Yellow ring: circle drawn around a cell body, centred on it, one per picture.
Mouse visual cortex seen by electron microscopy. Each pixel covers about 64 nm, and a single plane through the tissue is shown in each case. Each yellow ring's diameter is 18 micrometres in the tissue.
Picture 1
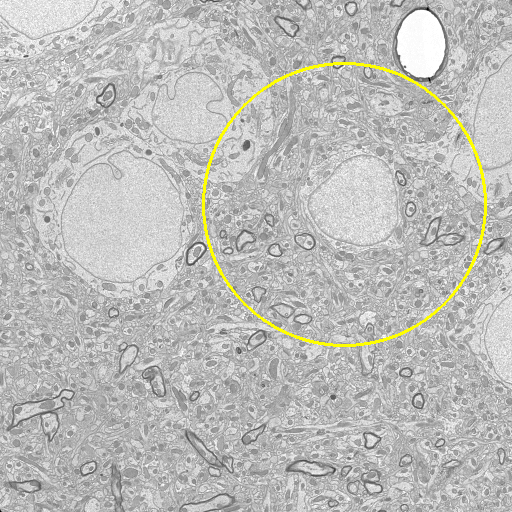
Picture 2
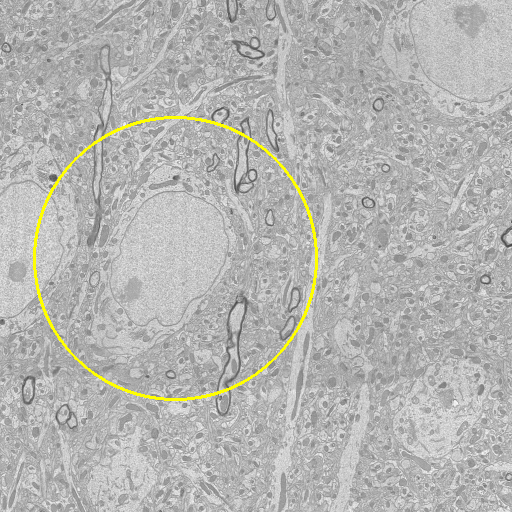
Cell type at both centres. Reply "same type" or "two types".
two types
